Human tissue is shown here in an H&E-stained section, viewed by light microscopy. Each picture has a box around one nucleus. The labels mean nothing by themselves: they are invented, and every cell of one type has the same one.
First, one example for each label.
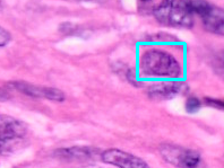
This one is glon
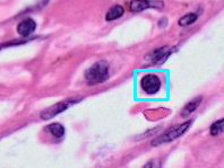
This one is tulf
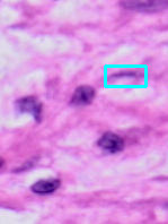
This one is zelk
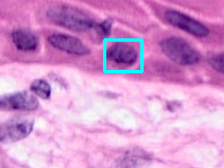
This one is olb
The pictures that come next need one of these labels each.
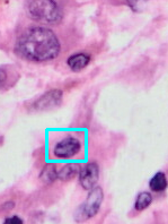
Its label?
tulf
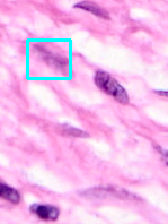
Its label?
zelk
